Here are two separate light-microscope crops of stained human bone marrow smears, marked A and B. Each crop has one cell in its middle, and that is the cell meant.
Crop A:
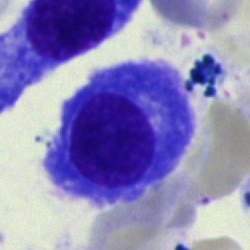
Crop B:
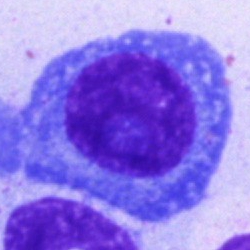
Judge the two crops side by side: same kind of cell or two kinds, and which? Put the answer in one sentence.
Yes, both the first crop and the second crop show plasma cells.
